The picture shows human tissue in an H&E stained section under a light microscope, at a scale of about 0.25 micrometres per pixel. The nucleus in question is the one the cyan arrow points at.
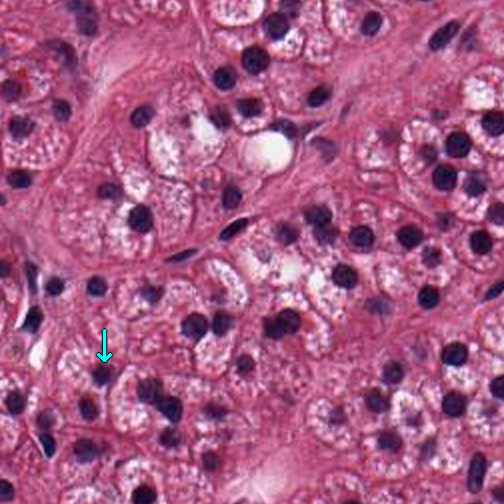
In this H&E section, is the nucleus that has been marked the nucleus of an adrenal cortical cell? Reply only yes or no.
yes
